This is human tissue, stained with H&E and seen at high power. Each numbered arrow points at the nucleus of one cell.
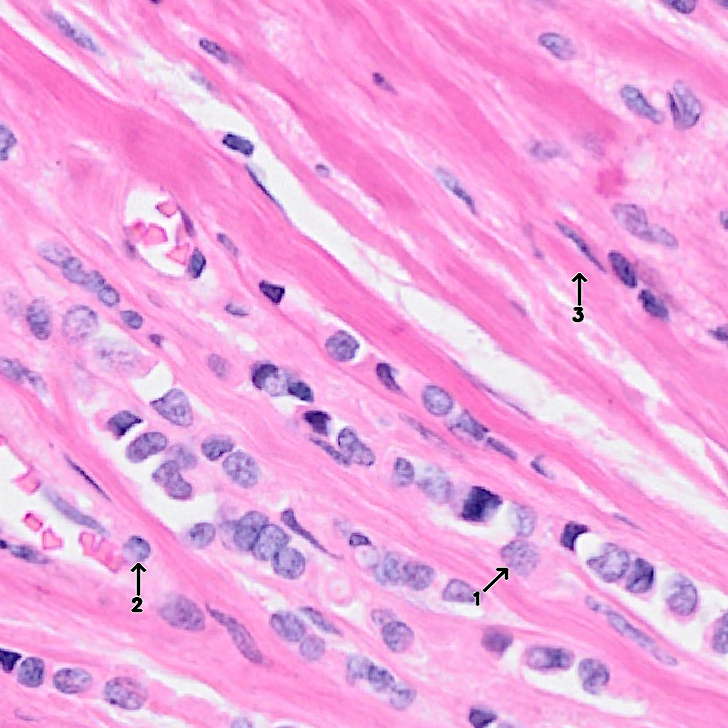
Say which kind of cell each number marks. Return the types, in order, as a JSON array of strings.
["carcinoma cell", "endothelial cell", "fibroblast"]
